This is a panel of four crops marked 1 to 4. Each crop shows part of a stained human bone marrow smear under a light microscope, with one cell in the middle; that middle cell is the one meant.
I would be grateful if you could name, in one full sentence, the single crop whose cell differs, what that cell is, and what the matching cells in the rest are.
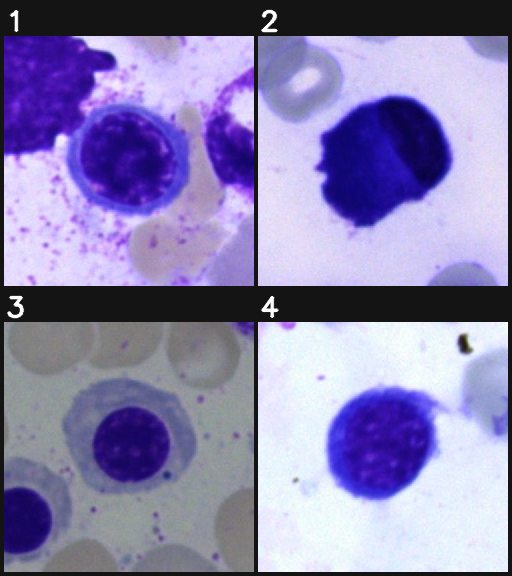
Among the crops, crop 2 is unique in showing a plasma cell; the others show erythroblasts.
